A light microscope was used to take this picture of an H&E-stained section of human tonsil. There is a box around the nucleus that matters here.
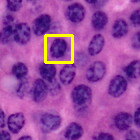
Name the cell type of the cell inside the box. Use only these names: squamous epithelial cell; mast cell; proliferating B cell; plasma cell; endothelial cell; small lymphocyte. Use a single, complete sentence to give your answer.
It is as a plasma cell that the cell inside the box is classified.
